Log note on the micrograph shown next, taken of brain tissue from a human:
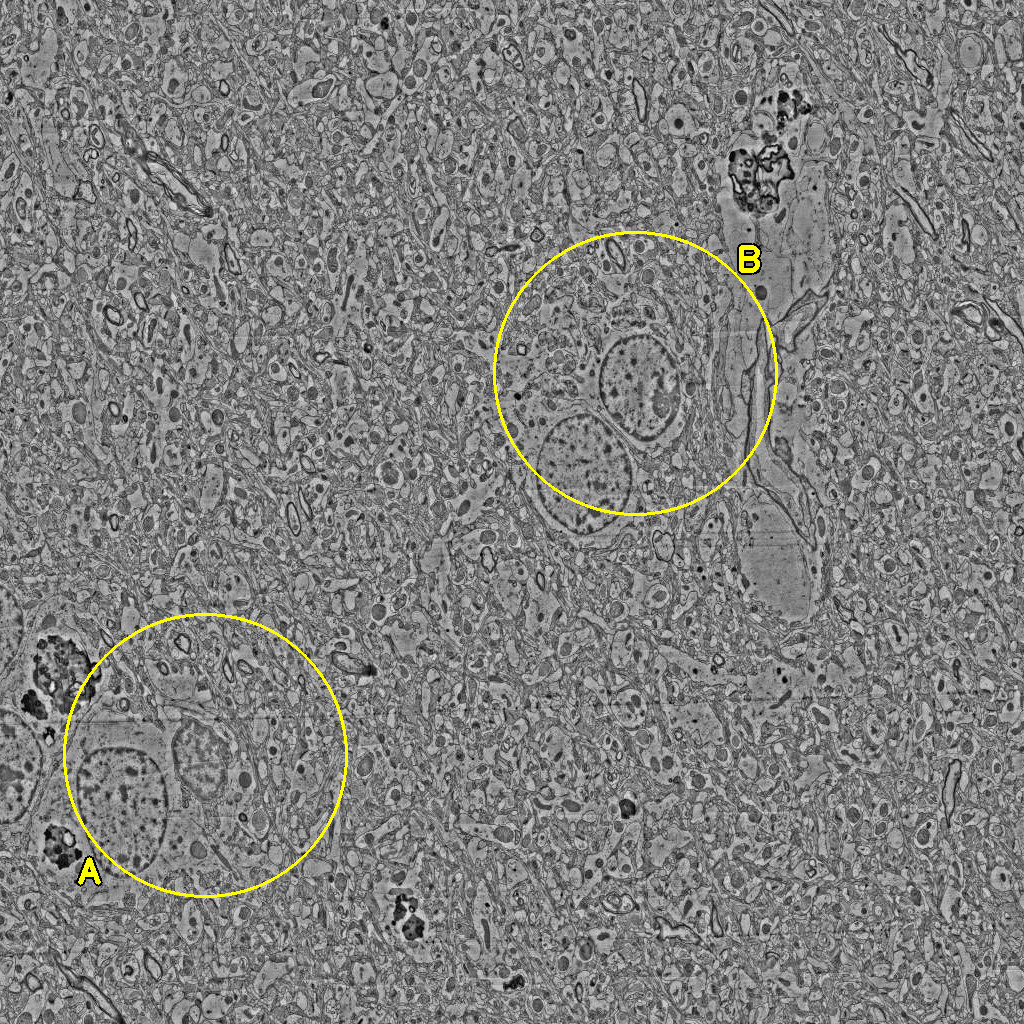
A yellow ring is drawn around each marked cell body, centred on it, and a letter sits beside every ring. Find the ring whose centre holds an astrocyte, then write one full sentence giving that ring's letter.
In the picture, the cell asked for sits at the centre of ring B.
